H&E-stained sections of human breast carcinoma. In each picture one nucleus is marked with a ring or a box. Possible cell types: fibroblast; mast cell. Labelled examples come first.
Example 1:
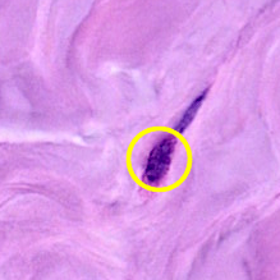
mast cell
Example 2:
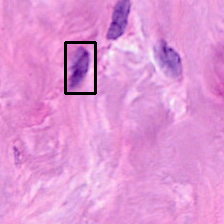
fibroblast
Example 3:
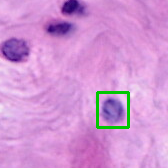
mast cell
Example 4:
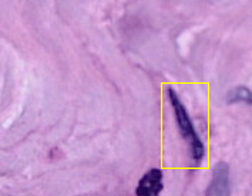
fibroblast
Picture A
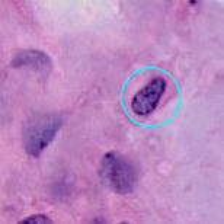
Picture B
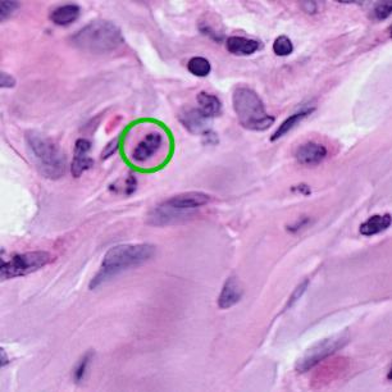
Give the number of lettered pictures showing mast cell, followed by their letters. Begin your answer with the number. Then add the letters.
2: A, B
